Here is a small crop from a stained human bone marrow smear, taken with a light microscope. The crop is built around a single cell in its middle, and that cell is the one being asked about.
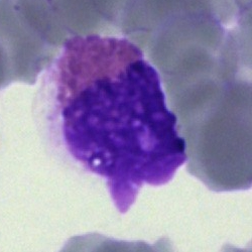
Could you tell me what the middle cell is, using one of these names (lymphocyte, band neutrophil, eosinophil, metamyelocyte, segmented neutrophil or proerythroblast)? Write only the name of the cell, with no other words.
eosinophil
